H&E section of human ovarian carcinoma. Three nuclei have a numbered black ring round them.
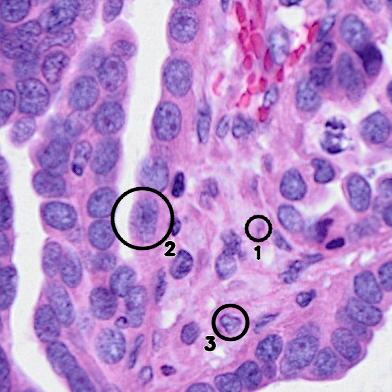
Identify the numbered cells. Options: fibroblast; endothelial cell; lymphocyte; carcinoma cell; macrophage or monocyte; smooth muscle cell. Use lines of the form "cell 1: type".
cell 1: fibroblast
cell 2: carcinoma cell
cell 3: fibroblast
